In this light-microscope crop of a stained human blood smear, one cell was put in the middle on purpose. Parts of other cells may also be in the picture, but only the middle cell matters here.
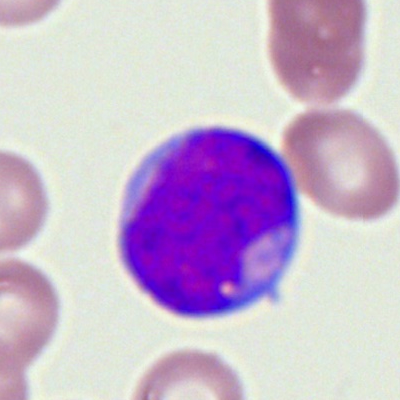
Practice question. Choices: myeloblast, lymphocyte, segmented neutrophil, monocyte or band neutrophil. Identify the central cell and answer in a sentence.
Seen at the centre of the crop is a myeloblast.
